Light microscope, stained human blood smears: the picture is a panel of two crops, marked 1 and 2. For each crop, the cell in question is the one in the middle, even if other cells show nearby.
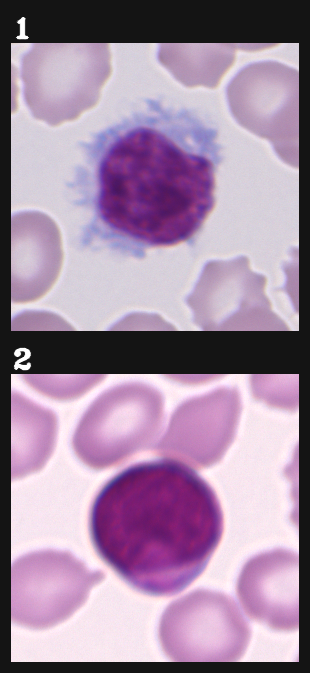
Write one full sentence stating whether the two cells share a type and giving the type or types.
No, a hairy cell is in crop 1, while a myeloblast is in crop 2.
